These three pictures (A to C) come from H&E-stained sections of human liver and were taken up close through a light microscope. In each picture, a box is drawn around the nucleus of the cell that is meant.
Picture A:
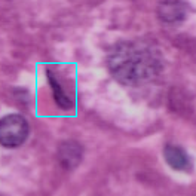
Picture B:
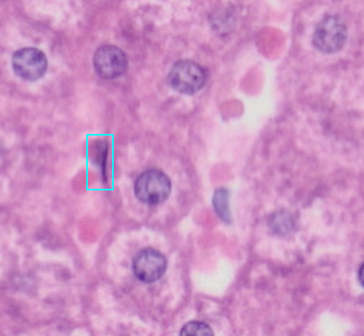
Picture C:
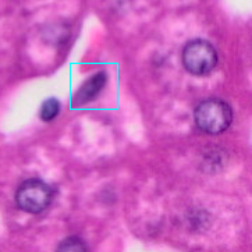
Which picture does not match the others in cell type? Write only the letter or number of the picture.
C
